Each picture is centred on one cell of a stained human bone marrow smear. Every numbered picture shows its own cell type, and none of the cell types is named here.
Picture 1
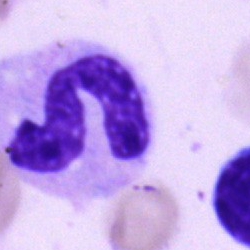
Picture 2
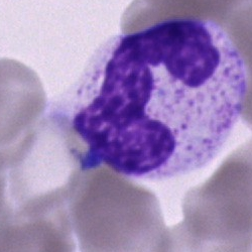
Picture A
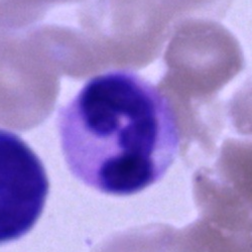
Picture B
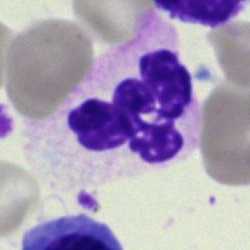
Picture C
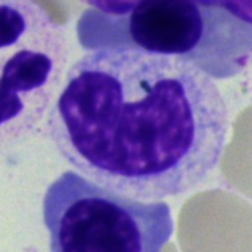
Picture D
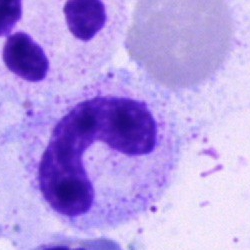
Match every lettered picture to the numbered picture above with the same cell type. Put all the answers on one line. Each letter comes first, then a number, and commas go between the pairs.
A 1, B 1, C 2, D 2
